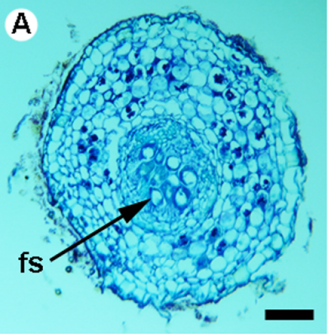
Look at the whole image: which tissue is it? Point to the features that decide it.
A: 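Round cross-section with a central vascular cylinder. Broad cortex of parenchyma cells around the central cylinder. Thin outer epidermal layer. That points to this answer: roots.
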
